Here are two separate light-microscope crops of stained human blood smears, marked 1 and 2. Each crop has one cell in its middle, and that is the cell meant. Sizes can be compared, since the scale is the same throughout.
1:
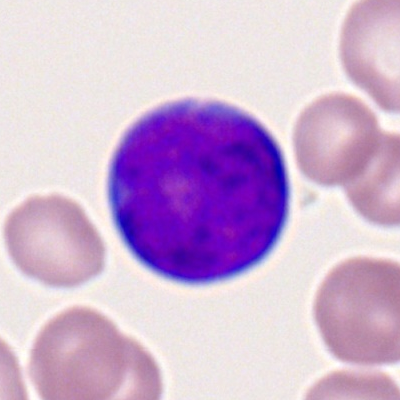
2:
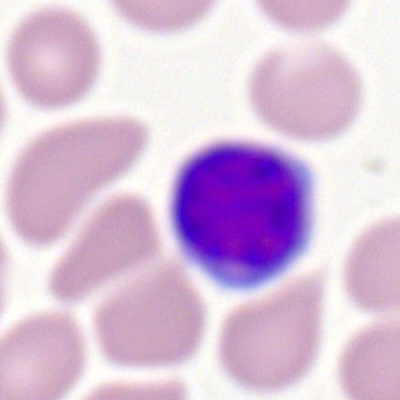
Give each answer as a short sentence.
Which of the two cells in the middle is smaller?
Picture 2 holds the smaller cell, since the cell in picture 1 covers about 1.5 times as much area.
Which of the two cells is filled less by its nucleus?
It is the cell in picture 2 that is filled less by its nucleus.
